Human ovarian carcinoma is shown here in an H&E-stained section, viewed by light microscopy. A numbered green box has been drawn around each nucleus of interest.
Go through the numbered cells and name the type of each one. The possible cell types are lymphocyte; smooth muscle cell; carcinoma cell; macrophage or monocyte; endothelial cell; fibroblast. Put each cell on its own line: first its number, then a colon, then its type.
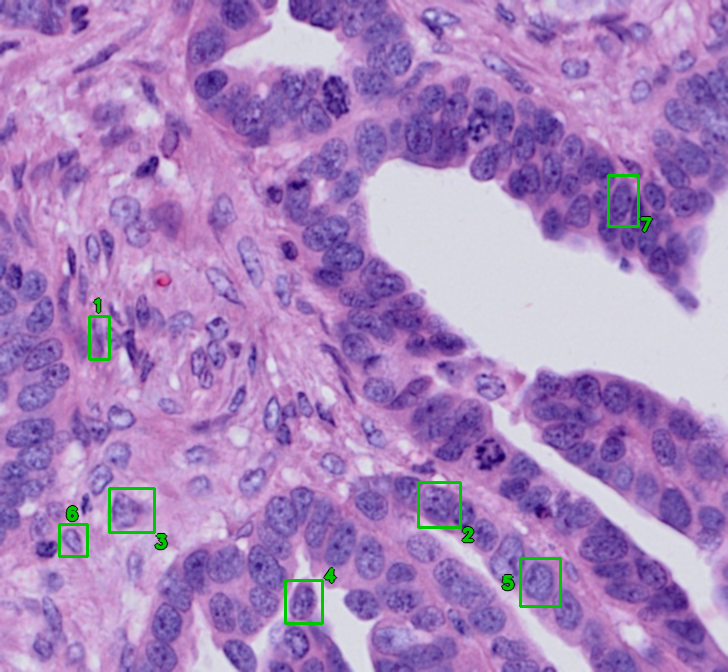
1: fibroblast
2: carcinoma cell
3: fibroblast
4: carcinoma cell
5: carcinoma cell
6: fibroblast
7: carcinoma cell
